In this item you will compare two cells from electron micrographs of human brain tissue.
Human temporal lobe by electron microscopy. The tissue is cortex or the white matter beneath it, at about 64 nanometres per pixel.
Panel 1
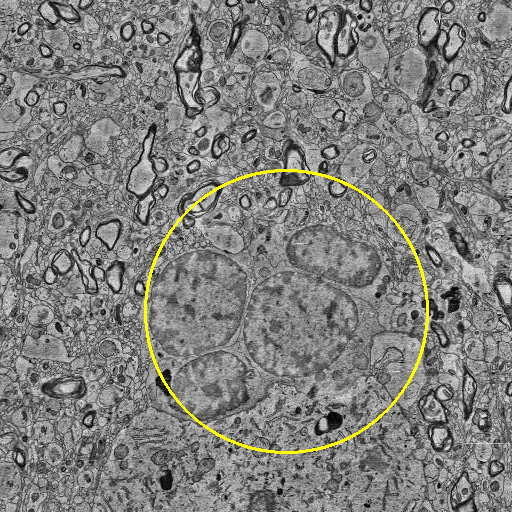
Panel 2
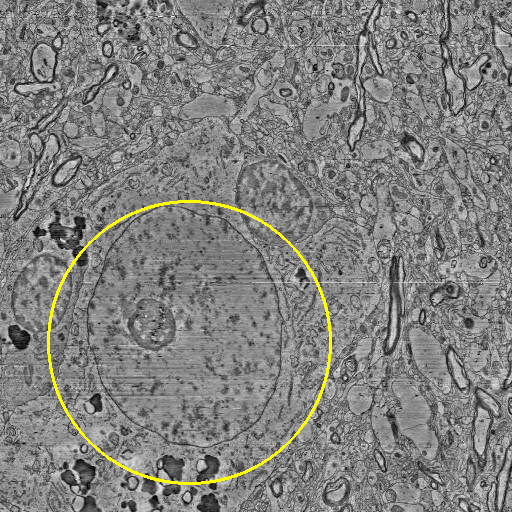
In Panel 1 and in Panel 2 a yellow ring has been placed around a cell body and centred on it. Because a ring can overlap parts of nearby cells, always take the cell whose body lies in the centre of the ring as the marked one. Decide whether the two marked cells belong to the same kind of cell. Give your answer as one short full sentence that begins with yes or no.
No, the two marked cells belong to two kinds of cell.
